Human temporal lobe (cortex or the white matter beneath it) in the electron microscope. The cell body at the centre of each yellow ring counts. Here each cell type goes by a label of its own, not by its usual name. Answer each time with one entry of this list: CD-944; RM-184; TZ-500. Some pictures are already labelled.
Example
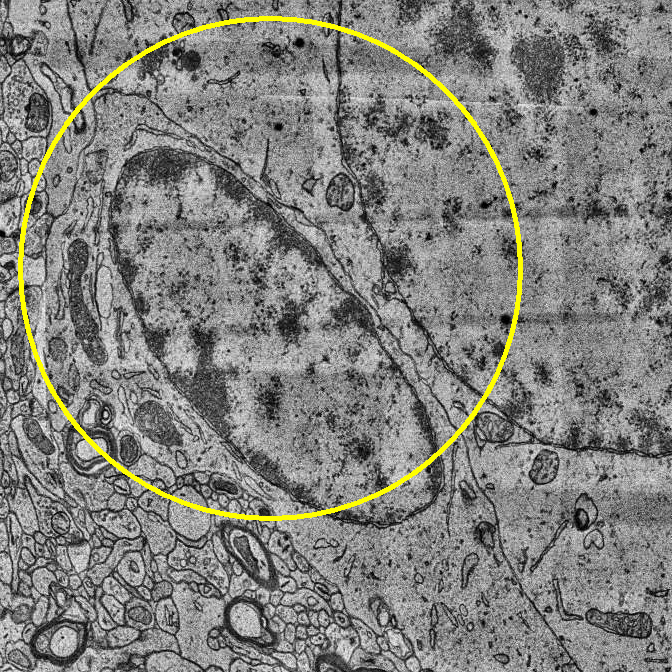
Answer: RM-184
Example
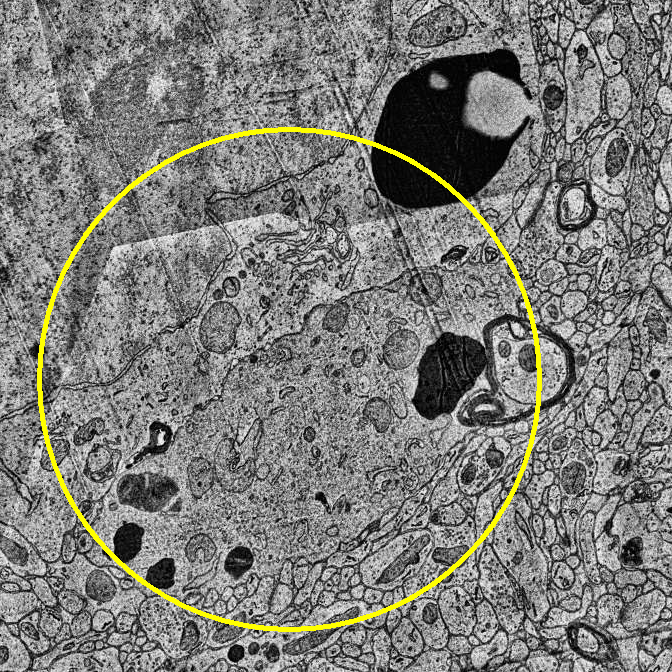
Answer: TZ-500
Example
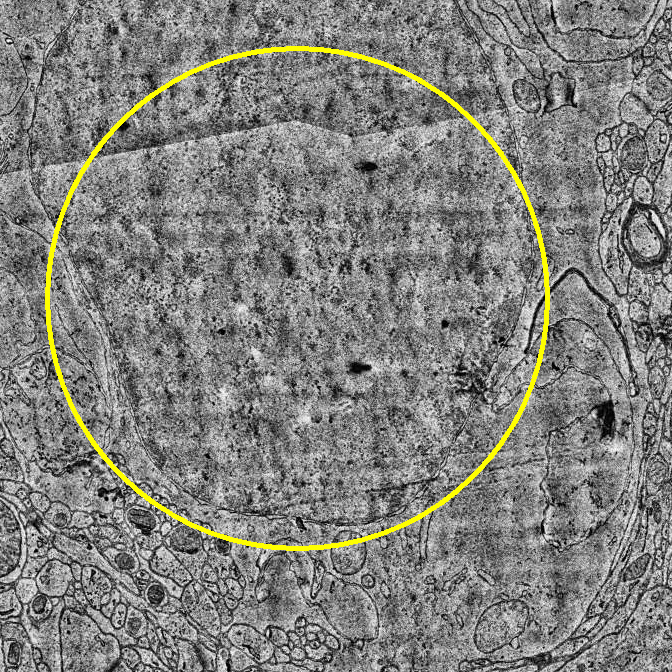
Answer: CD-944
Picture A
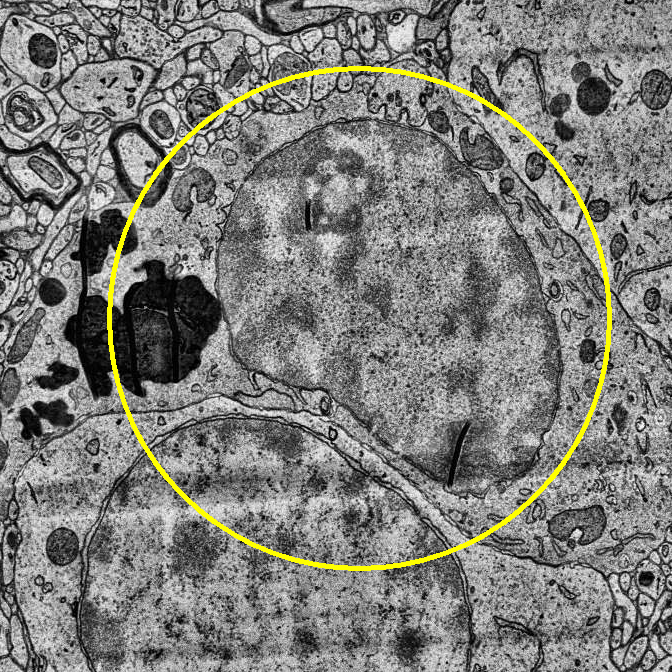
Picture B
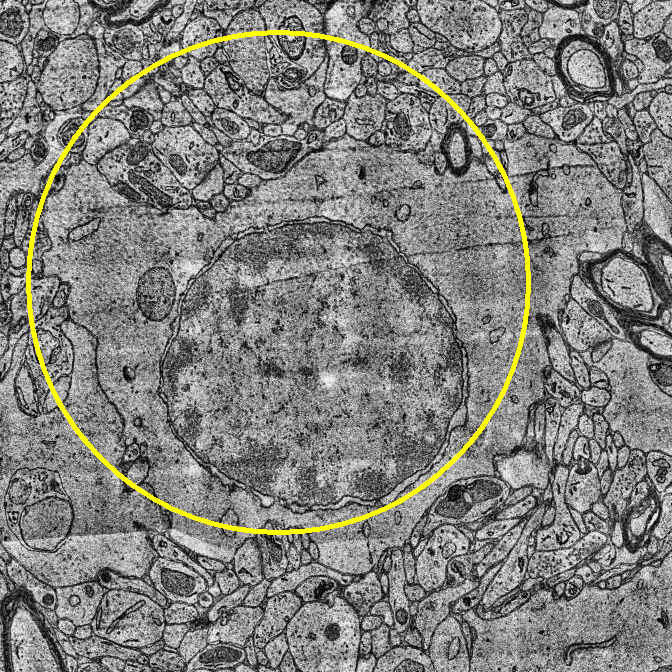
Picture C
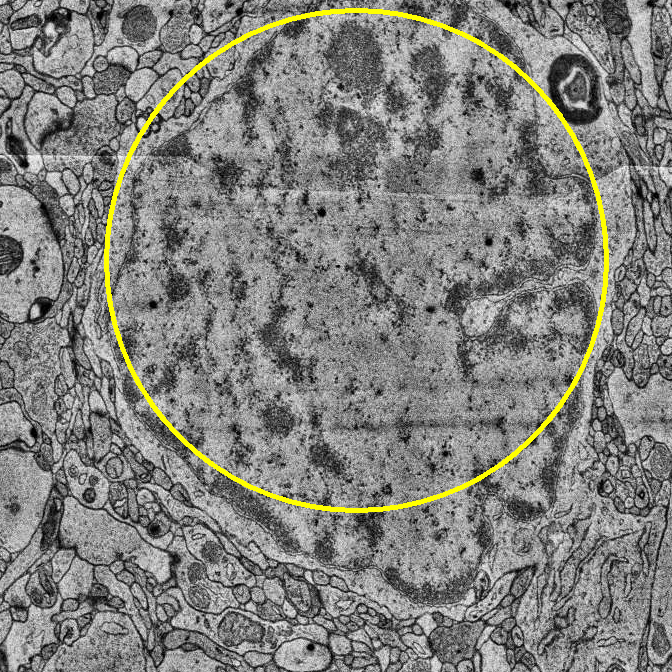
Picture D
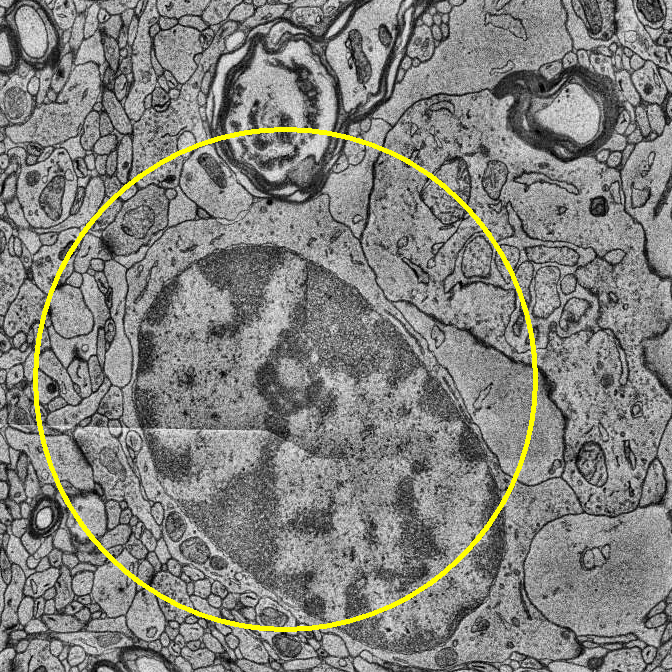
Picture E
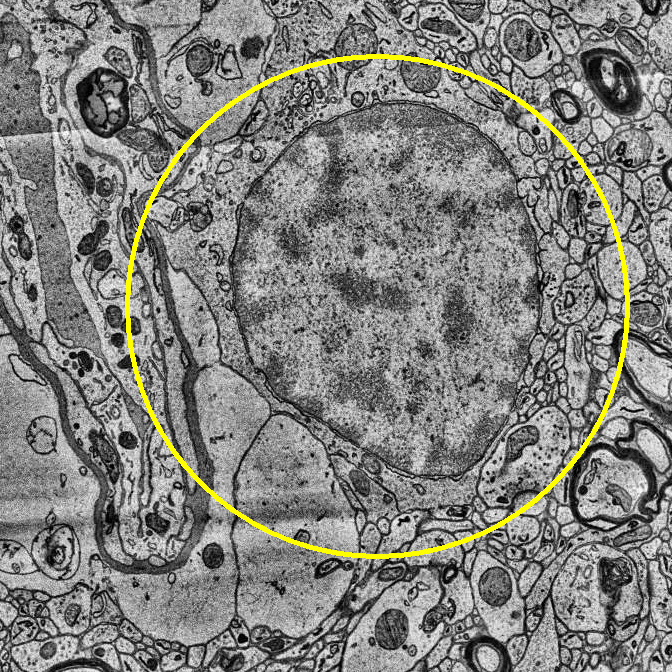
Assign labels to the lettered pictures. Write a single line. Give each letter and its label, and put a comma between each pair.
A TZ-500, B CD-944, C RM-184, D RM-184, E TZ-500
